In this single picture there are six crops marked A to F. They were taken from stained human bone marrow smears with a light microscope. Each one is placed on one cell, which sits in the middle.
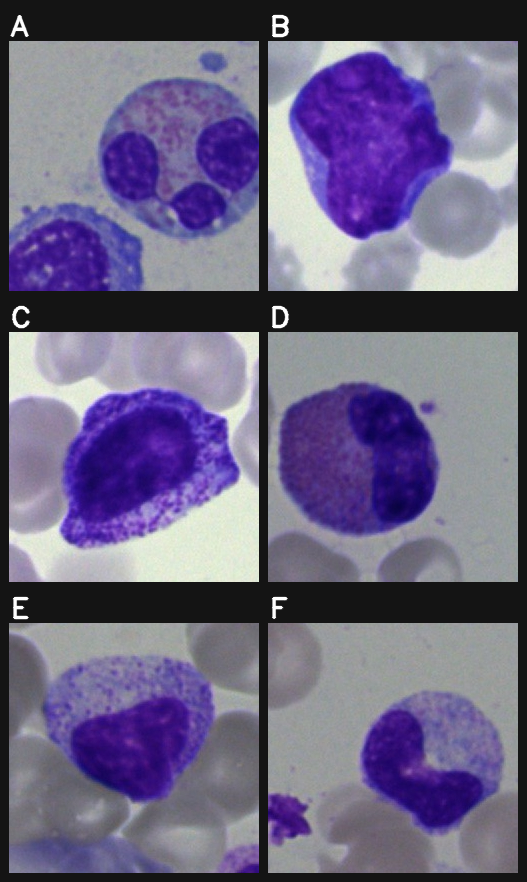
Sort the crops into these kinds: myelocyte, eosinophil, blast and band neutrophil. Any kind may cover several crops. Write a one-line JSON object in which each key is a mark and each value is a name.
{"A": "eosinophil", "B": "blast", "C": "myelocyte", "D": "eosinophil", "E": "myelocyte", "F": "band neutrophil"}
